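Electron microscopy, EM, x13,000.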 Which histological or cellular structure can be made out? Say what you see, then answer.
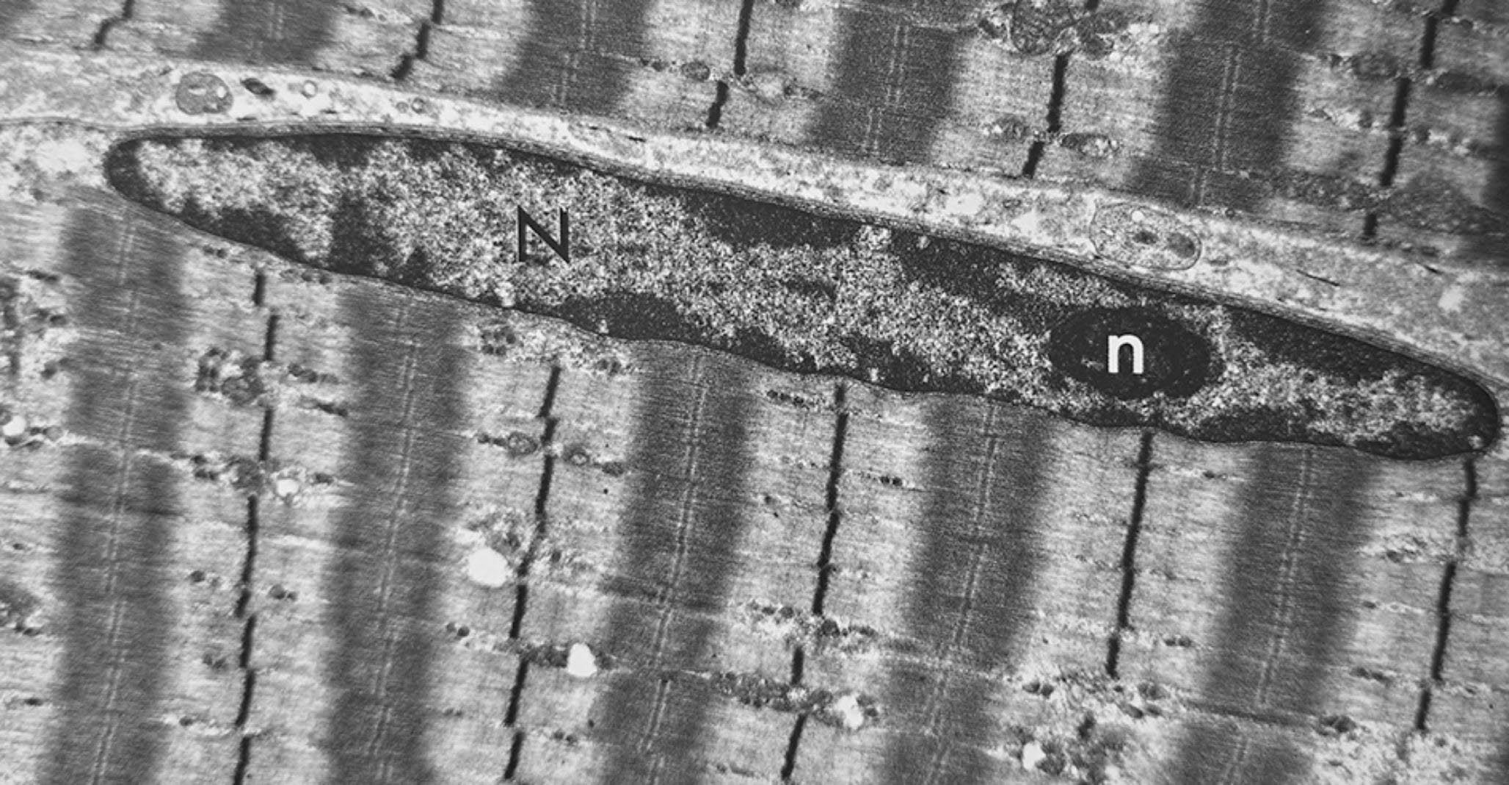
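Dark, dense chromatin lines the inner edge of the nuclear envelope. The centre of the nucleus is paler and more granular.
Hence: chromatin distributed towards the periphery.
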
